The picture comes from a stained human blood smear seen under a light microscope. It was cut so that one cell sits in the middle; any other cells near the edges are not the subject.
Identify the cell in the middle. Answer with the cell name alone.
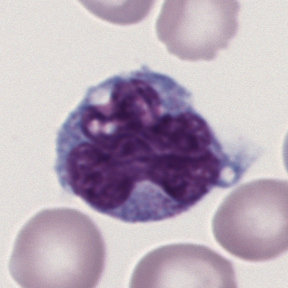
monocyte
